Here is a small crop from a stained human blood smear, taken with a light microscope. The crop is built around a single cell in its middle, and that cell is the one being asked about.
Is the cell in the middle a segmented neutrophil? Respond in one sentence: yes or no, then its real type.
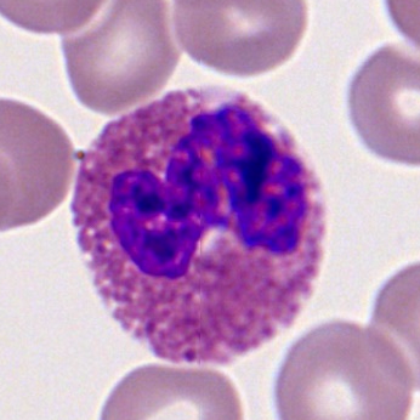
No, the central cell is an eosinophil; it should not be labelled a segmented neutrophil.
